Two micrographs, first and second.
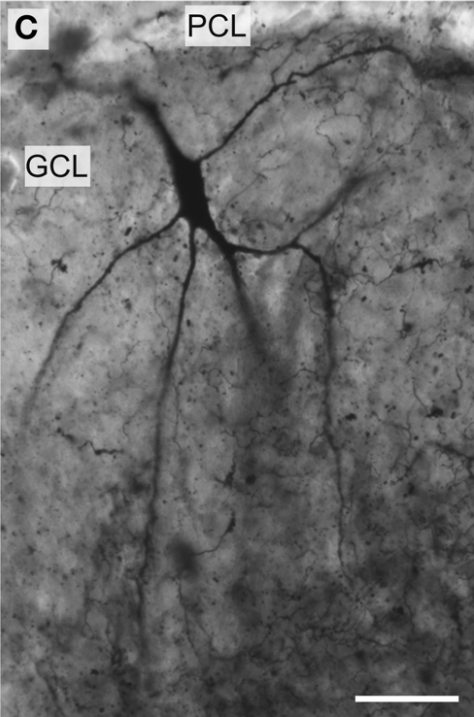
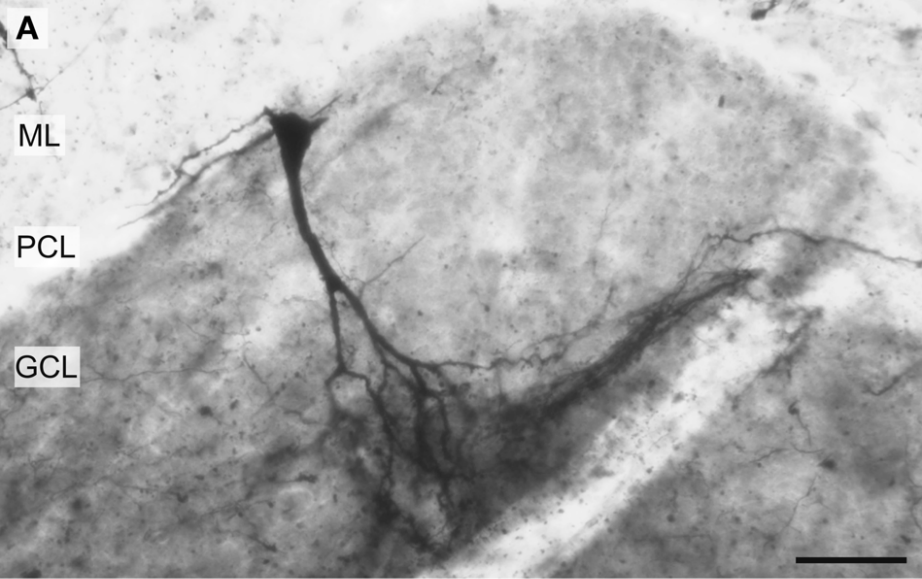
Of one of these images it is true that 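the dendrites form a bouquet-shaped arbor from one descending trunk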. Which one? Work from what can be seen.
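The second image. First image: several separate long dendrites leave the cell body and descend with little branching. Second image: one thick trunk descends and splits into a dense fan of many fine branches.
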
